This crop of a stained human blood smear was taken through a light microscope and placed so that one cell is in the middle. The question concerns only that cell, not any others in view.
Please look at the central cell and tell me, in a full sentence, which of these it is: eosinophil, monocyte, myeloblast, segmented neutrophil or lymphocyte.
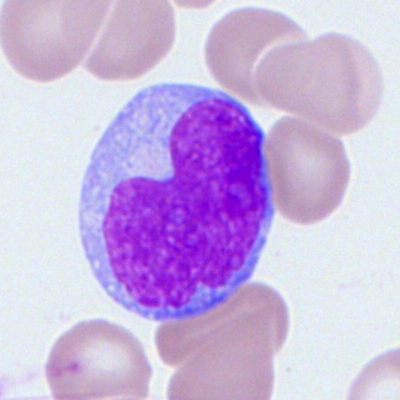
The cell of interest, located centrally, is a myeloblast.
